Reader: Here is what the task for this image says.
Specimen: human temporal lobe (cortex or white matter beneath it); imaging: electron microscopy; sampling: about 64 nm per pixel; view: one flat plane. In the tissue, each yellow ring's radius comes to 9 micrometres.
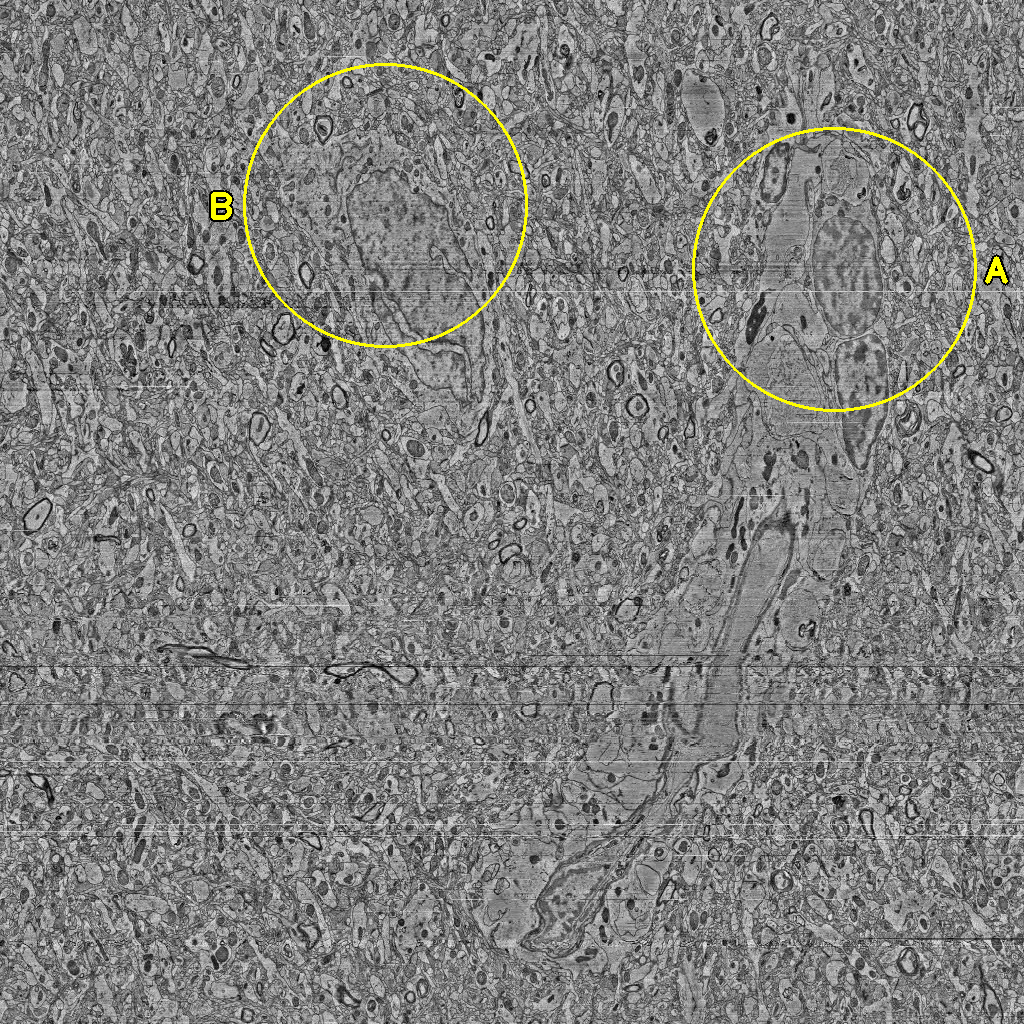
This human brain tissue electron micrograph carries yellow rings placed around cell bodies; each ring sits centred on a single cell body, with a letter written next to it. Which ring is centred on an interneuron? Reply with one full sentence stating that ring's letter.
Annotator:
Letter B marks the ring whose centre holds the cell asked for.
